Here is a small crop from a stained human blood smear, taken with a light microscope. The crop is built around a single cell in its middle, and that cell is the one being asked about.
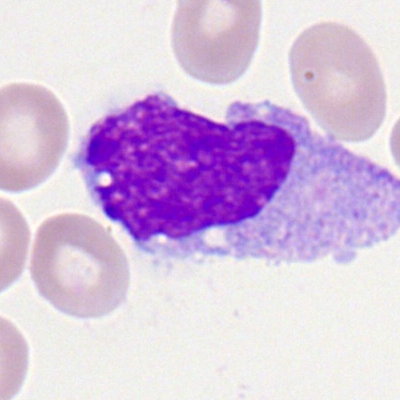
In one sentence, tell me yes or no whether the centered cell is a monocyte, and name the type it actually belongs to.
Yes, the cell centred in the field of view is a monocyte.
